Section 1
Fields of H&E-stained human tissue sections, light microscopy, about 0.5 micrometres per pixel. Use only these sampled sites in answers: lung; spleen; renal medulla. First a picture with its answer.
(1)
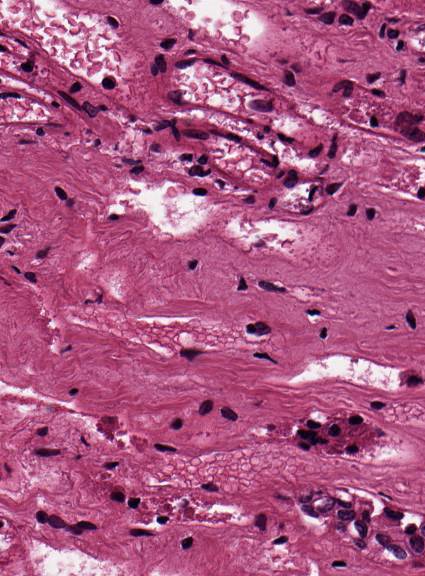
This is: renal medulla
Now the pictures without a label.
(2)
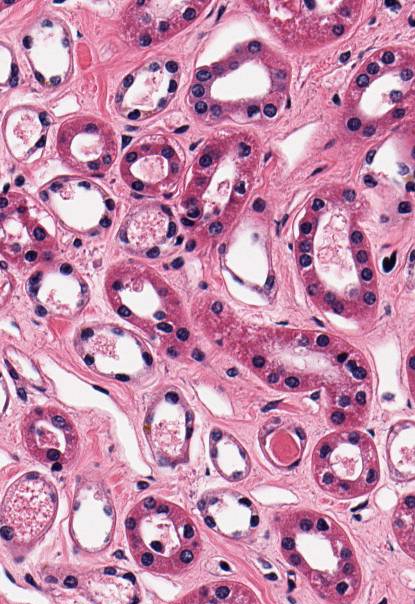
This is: renal medulla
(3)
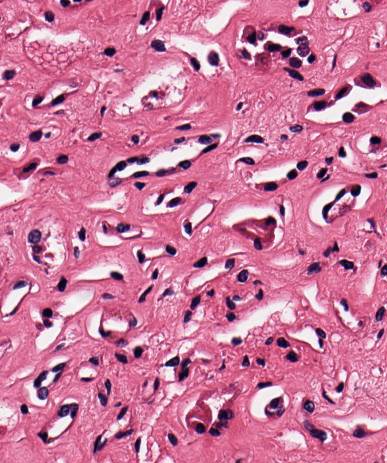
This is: renal medulla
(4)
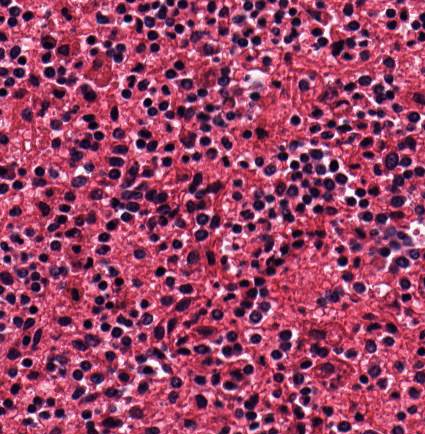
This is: spleen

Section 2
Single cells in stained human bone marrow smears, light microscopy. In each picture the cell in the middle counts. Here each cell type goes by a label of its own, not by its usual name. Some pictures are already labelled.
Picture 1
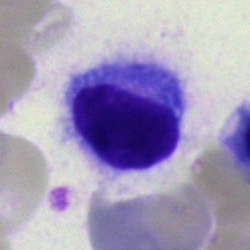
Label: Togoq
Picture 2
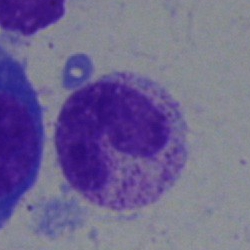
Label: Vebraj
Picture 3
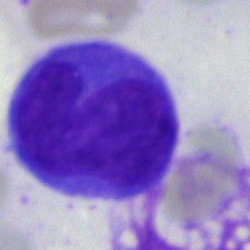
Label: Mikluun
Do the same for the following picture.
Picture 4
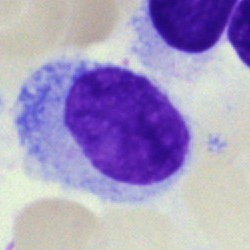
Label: Togoq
